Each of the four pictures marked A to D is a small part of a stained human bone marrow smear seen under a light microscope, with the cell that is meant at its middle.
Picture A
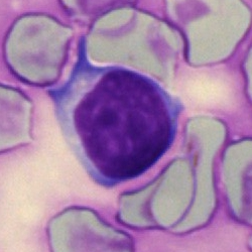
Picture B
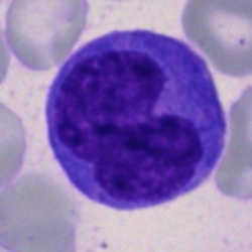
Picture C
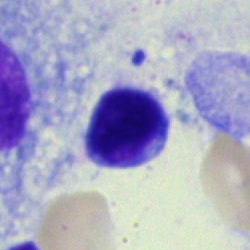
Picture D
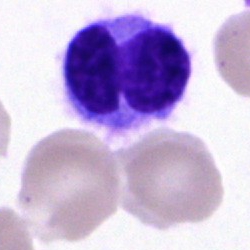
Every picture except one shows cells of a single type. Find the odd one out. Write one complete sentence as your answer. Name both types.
All pictures except B show lymphocytes; picture B shows a monocyte.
